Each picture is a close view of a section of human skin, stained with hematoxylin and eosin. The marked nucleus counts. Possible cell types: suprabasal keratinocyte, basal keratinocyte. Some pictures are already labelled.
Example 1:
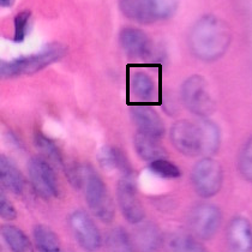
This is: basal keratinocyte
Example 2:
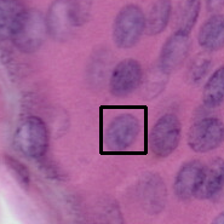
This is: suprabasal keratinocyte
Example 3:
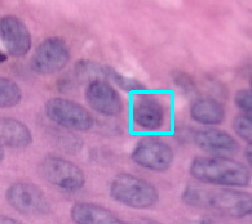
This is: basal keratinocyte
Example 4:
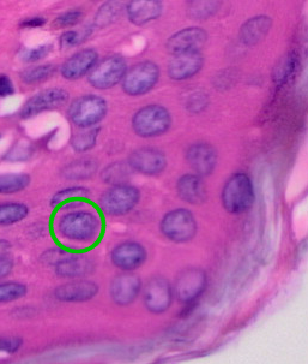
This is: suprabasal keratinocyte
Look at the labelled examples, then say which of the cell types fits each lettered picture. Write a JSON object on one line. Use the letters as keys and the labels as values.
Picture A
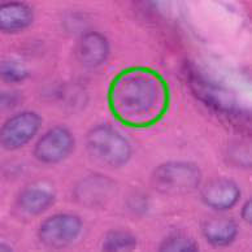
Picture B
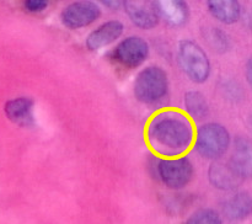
{"A": "suprabasal keratinocyte", "B": "basal keratinocyte"}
